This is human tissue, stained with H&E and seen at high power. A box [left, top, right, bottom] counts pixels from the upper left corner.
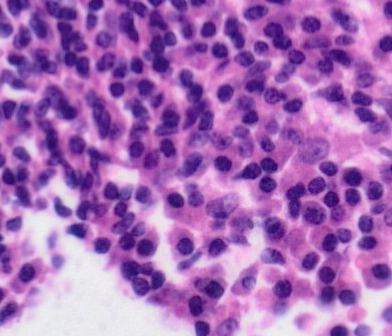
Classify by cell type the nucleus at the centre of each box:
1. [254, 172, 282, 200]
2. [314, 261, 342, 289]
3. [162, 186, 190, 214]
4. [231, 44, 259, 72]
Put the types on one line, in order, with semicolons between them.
plasma cell; plasma cell; plasma cell; small lymphocyte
